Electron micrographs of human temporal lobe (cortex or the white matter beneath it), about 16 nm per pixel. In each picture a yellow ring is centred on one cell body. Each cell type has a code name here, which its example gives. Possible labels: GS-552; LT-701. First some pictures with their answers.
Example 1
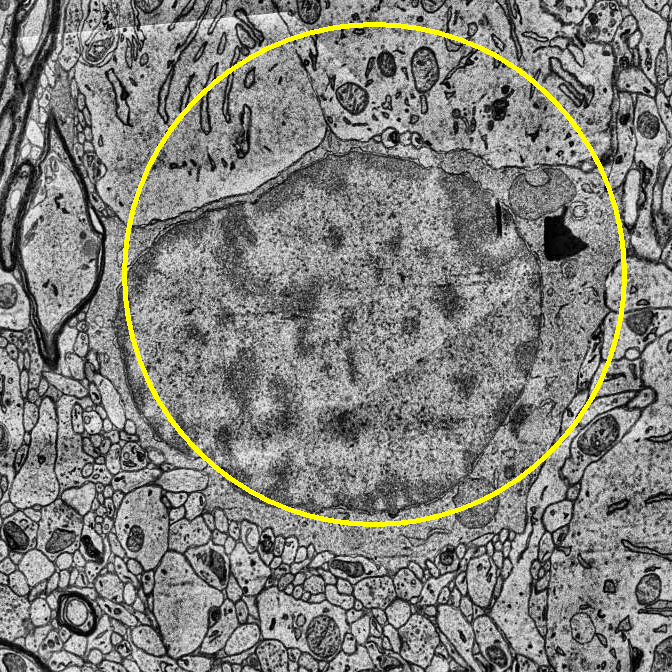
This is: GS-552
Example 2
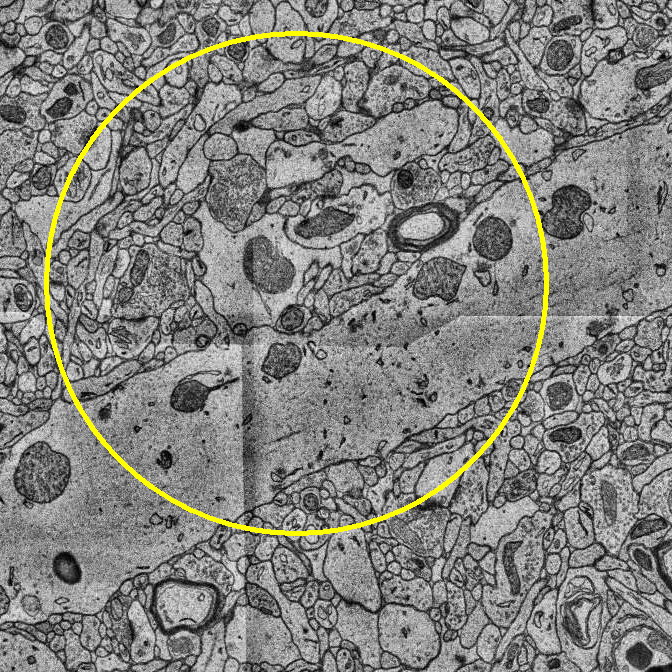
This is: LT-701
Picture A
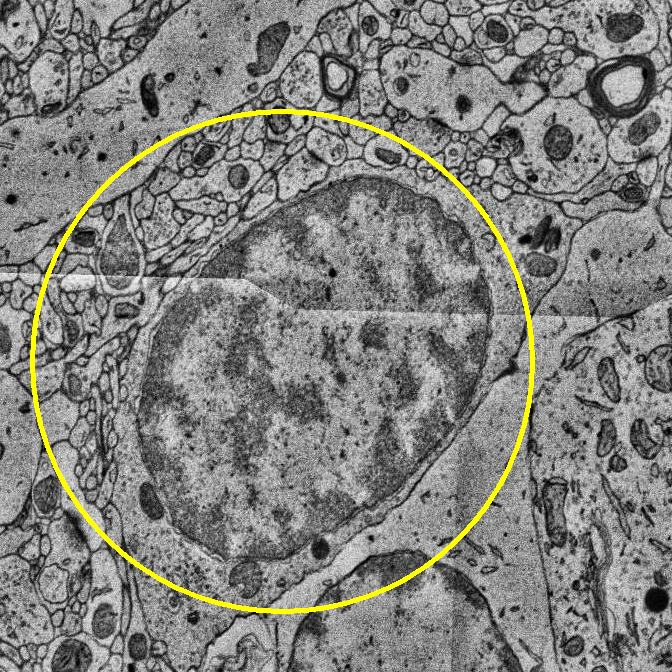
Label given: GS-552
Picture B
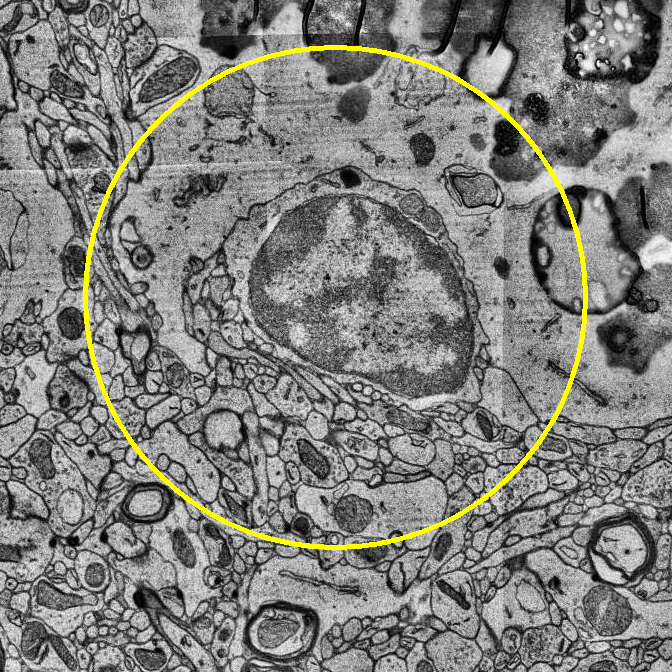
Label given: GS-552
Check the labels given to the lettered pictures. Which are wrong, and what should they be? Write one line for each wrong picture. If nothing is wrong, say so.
Wrong: B (GS-552); correct: LT-701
